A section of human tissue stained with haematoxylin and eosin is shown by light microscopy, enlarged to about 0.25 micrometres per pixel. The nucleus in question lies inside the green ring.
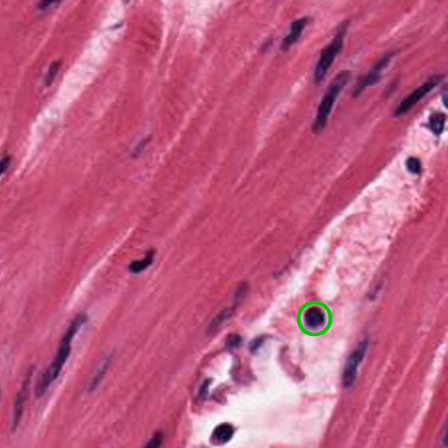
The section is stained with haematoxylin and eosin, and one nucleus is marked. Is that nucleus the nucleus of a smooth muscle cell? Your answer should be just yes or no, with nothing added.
no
